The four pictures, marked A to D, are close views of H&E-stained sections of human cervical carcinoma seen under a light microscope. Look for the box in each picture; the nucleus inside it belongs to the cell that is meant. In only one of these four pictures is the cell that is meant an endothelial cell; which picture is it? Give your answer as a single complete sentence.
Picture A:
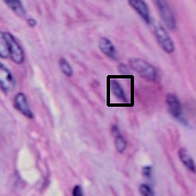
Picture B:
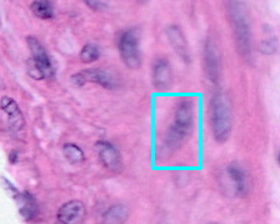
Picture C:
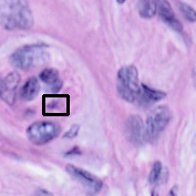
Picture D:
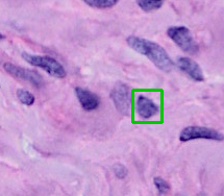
Picture C is the one that shows the endothelial cell.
